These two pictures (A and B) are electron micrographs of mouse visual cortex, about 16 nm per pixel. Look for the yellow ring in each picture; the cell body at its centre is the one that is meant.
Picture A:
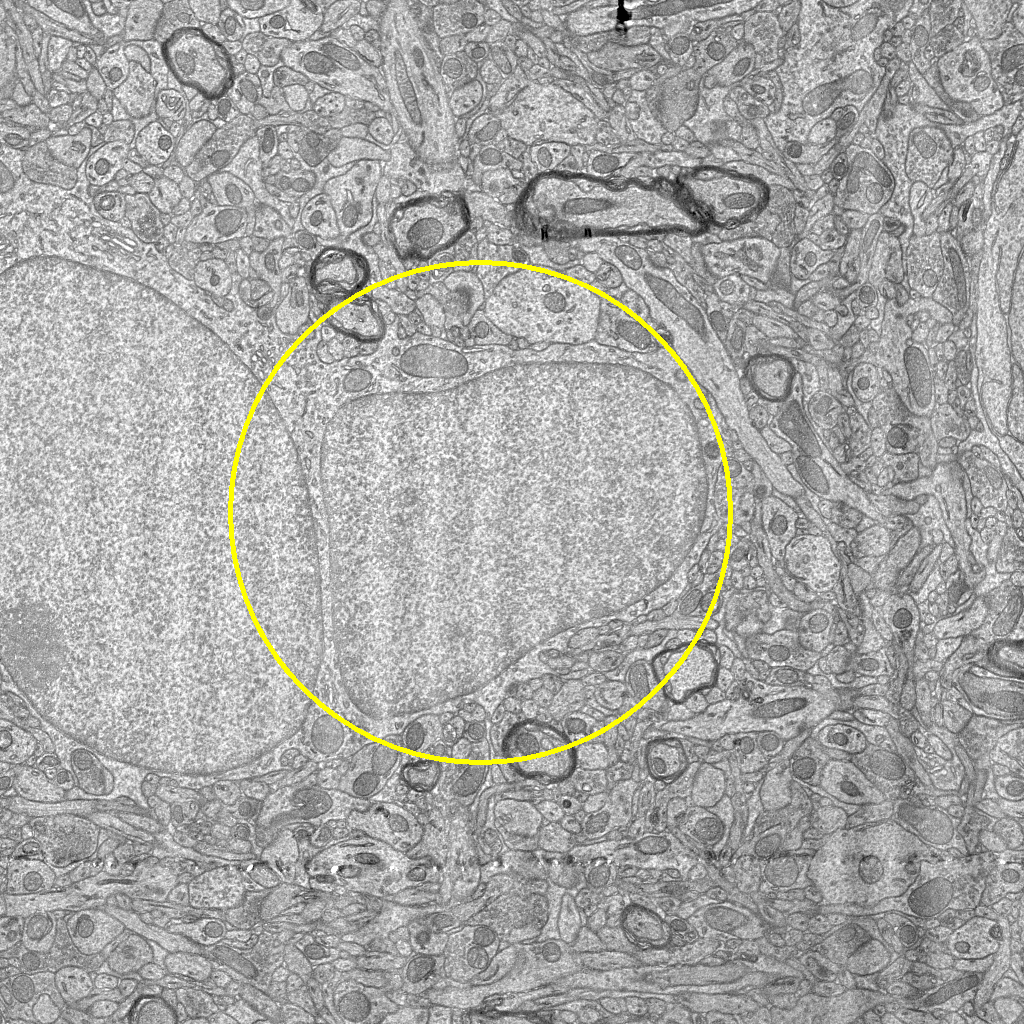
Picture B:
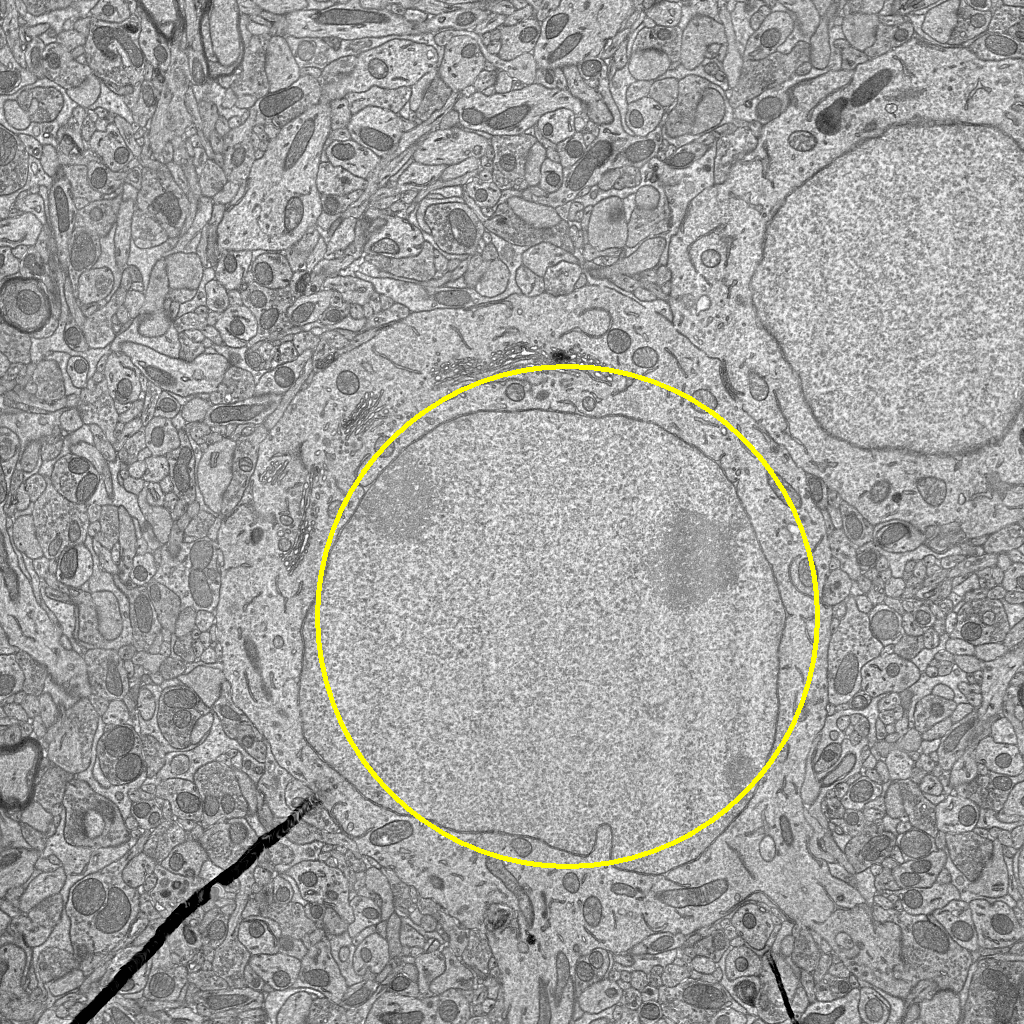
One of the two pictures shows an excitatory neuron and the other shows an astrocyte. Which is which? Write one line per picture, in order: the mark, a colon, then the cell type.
A: astrocyte
B: excitatory neuron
